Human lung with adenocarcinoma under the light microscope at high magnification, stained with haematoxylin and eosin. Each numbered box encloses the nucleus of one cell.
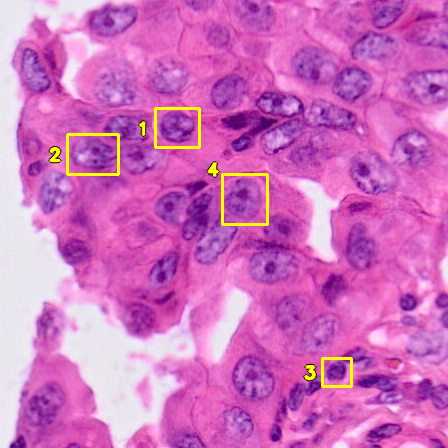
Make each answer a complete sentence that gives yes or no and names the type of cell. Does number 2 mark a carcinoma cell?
Yes, cell 2 is a carcinoma cell in this tissue section.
